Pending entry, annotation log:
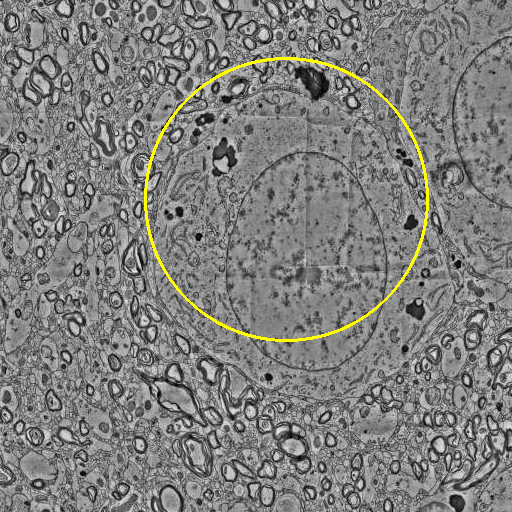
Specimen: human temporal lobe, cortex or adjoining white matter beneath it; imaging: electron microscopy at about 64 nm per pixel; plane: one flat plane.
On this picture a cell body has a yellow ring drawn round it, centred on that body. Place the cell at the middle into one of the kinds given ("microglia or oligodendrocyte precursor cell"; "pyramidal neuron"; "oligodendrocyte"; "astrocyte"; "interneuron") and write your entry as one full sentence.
The cell body at the middle of the yellow ring belongs to a pyramidal neuron.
